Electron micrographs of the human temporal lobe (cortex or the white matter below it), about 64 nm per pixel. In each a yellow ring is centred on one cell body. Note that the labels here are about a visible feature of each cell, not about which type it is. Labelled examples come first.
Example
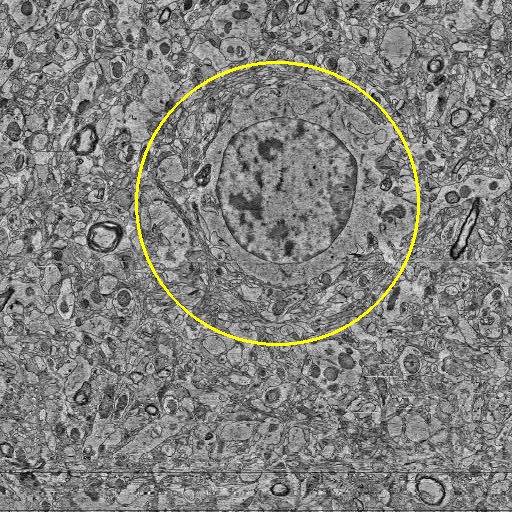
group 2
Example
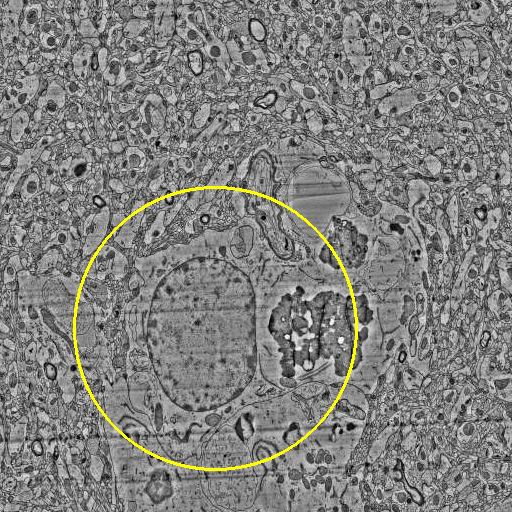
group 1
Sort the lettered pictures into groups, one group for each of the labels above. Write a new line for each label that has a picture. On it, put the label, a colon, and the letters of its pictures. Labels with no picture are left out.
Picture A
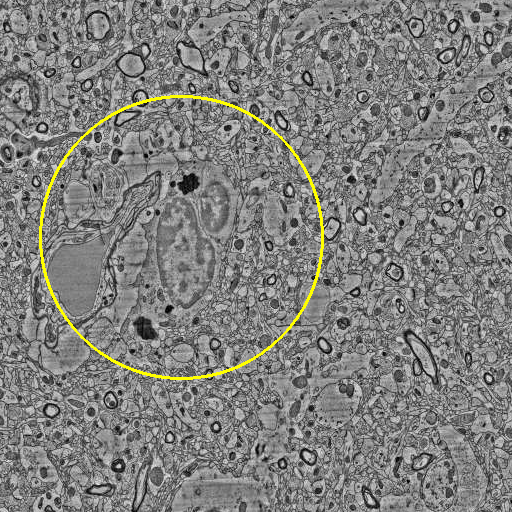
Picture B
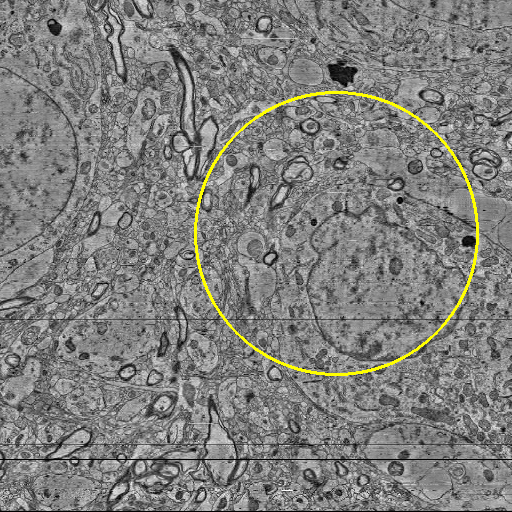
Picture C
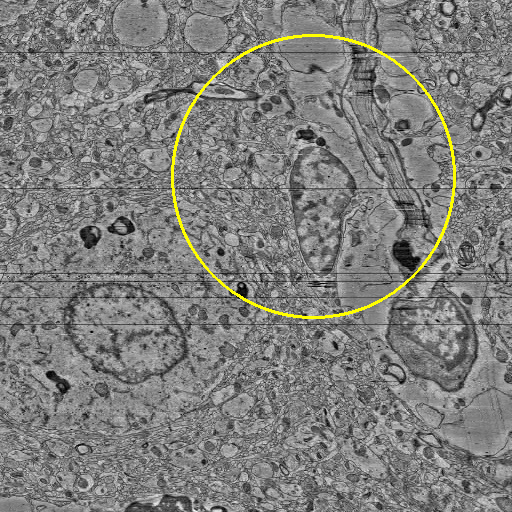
group 2: B
group 1: A, C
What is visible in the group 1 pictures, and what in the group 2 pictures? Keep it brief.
group 1: clearly elongated nuclei; group 2: round or nearly round nuclei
